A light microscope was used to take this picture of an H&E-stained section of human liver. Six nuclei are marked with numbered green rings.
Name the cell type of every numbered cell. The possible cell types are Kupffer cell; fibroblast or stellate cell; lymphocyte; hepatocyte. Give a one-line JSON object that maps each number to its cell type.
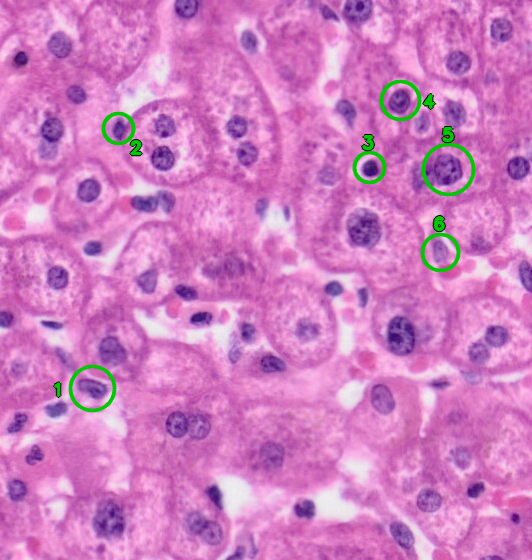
{"1": "Kupffer cell", "2": "fibroblast or stellate cell", "3": "lymphocyte", "4": "hepatocyte", "5": "hepatocyte", "6": "Kupffer cell"}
